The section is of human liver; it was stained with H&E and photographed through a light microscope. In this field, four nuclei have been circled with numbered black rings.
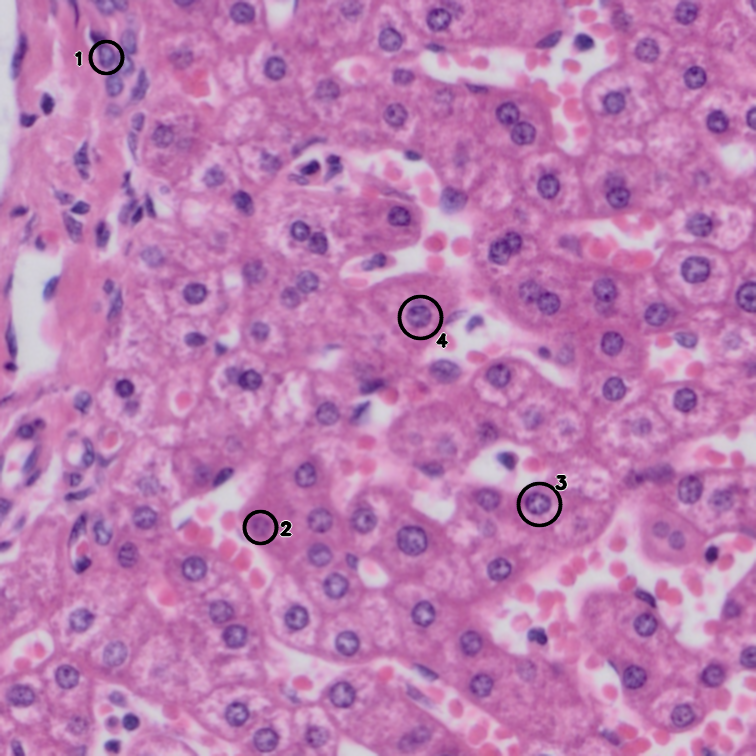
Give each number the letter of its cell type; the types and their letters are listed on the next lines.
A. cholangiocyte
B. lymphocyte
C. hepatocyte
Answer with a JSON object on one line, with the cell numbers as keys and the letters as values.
{"1": "A", "2": "C", "3": "C", "4": "C"}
